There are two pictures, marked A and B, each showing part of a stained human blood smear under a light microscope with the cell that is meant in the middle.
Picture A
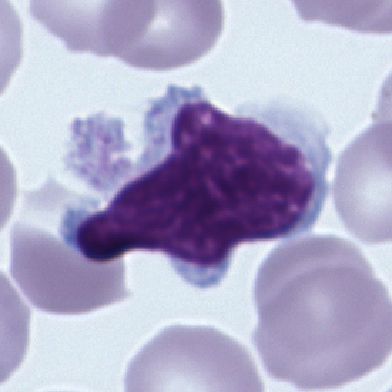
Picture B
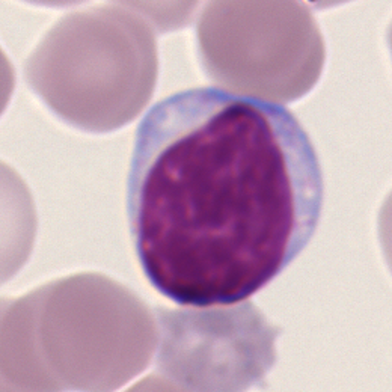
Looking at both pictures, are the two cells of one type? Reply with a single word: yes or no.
yes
